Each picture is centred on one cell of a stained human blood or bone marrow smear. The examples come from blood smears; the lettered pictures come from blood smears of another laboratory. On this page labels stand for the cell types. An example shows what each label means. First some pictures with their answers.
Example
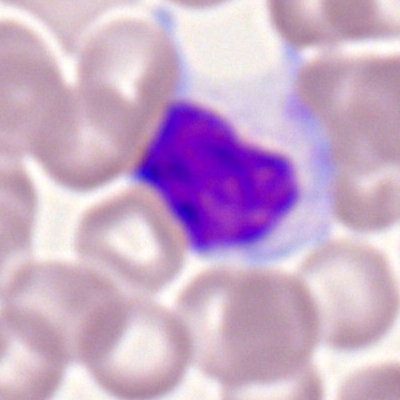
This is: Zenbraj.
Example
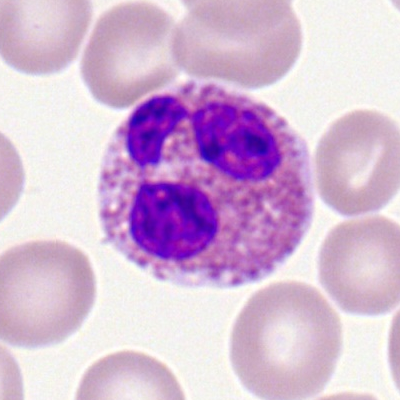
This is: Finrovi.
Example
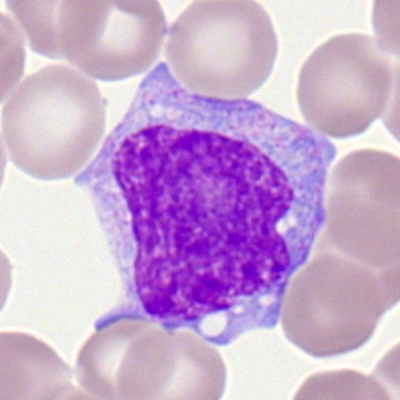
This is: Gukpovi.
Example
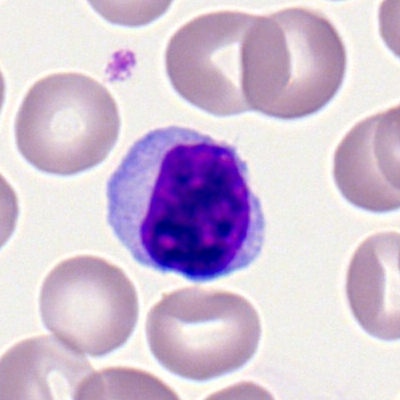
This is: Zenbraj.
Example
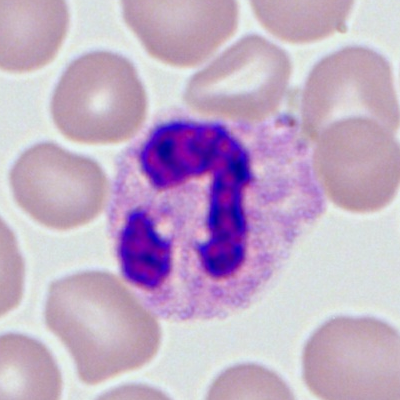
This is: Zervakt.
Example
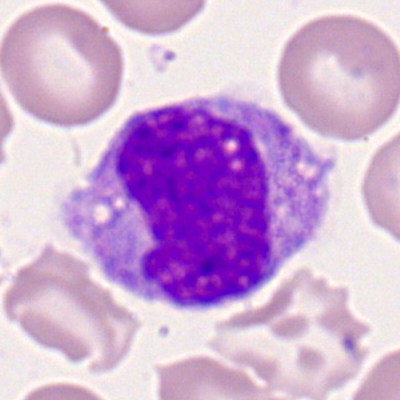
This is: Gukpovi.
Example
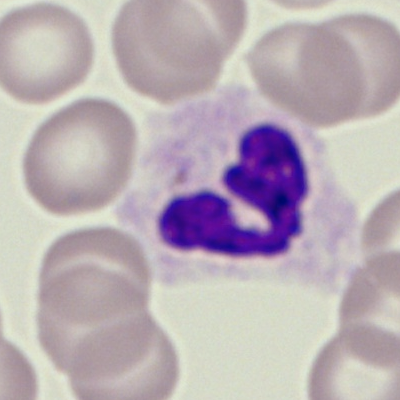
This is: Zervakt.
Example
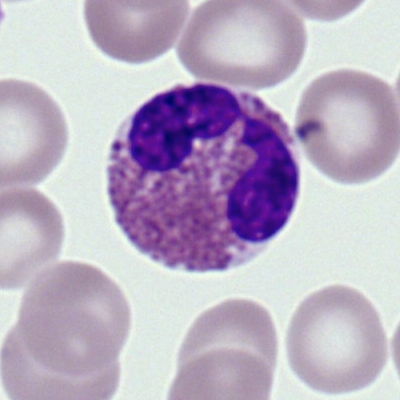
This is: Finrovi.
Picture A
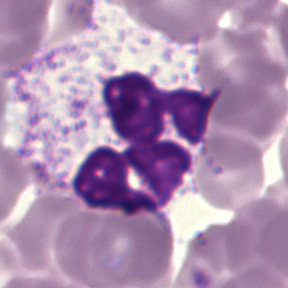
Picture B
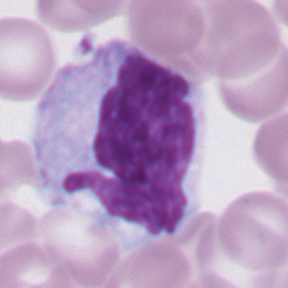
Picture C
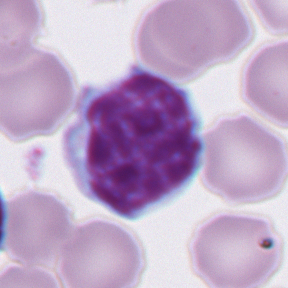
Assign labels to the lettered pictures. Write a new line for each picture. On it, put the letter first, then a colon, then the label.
A: Zervakt.
B: Gukpovi.
C: Zenbraj.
